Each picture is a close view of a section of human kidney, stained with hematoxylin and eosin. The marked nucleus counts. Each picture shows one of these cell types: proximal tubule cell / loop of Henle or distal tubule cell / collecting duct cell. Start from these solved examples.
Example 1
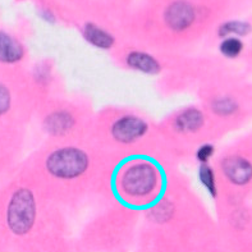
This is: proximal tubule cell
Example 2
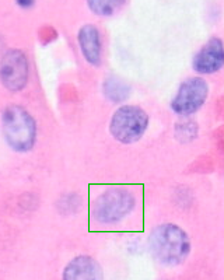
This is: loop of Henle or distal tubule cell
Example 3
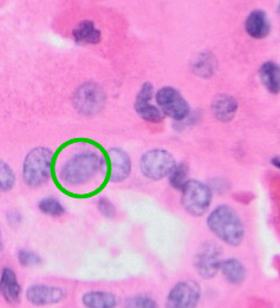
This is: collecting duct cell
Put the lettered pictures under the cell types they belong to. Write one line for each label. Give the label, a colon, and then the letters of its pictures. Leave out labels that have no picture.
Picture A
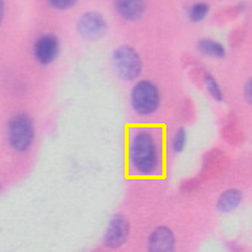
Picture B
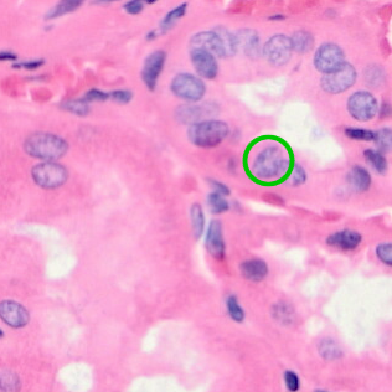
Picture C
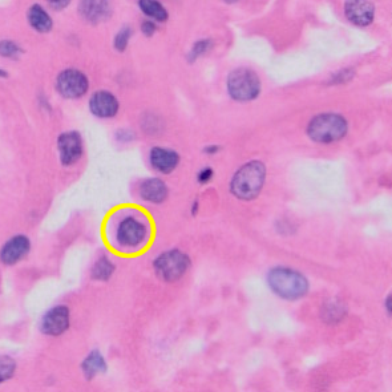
loop of Henle or distal tubule cell: A, C
collecting duct cell: B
